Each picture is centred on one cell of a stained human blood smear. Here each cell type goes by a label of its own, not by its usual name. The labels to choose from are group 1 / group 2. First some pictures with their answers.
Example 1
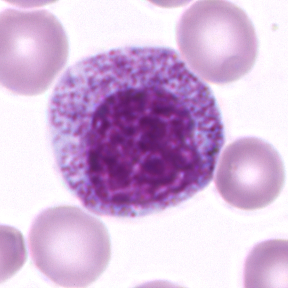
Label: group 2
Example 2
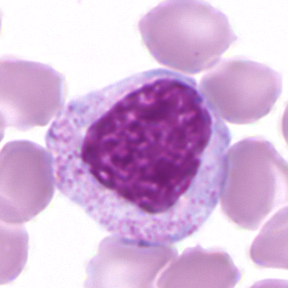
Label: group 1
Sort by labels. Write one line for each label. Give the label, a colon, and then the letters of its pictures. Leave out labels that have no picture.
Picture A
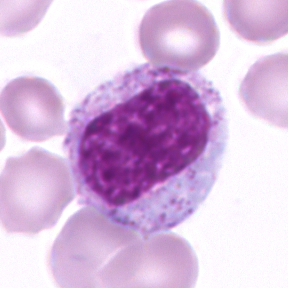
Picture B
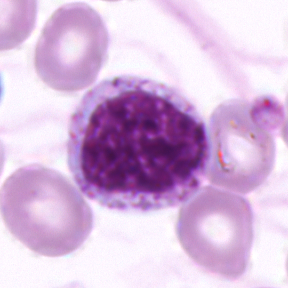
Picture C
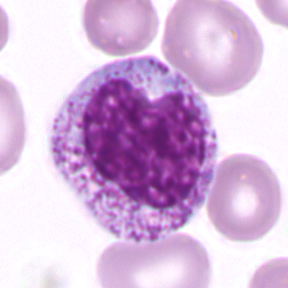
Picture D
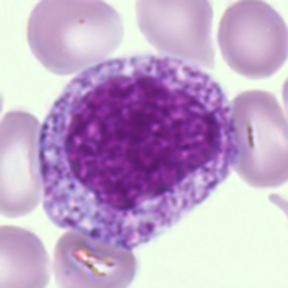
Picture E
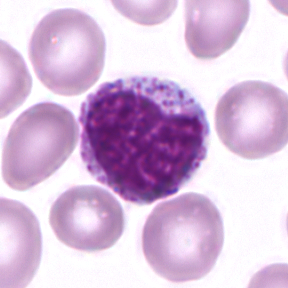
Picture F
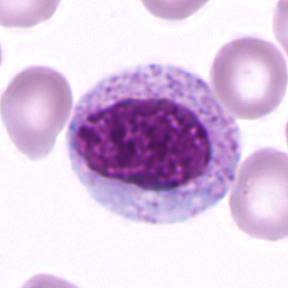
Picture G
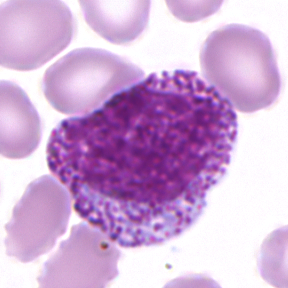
group 1: A, B, E, F
group 2: C, D, G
